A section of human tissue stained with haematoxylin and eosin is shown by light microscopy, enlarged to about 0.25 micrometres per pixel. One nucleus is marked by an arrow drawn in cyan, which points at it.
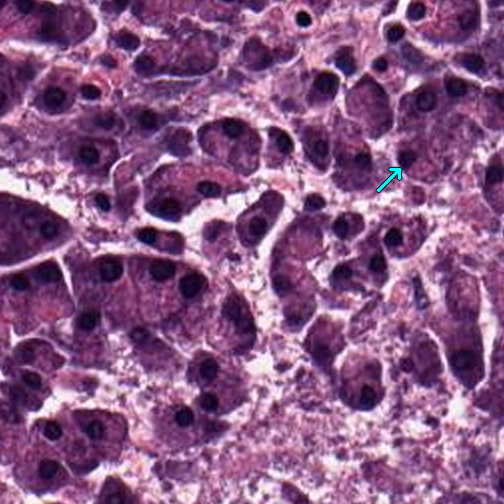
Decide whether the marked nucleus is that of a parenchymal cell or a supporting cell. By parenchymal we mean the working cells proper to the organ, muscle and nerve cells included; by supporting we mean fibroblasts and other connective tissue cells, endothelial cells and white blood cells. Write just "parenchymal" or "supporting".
parenchymal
